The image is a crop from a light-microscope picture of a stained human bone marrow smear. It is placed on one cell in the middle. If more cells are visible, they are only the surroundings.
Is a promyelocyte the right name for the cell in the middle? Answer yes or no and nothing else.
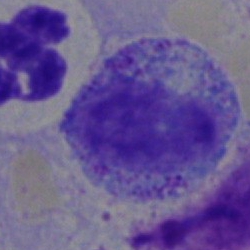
no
